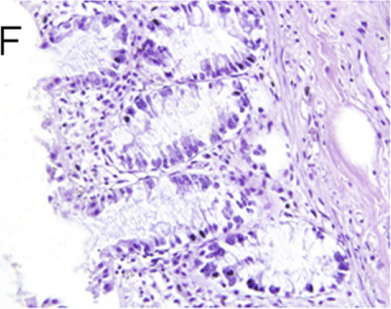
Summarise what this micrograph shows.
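Intestinal mucosa with glands lined by tall columnar epithelium and a lamina propria between them. The epithelial cells have elongated dark nuclei arranged near the base, and many pale, mucus-filled cells are interspersed along the lining, giving the glands a clear, bubbly appearance toward the lumen. At the right lies a band of fibrous tissue with spindle-shaped nuclei and a small round vessel lumen.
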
